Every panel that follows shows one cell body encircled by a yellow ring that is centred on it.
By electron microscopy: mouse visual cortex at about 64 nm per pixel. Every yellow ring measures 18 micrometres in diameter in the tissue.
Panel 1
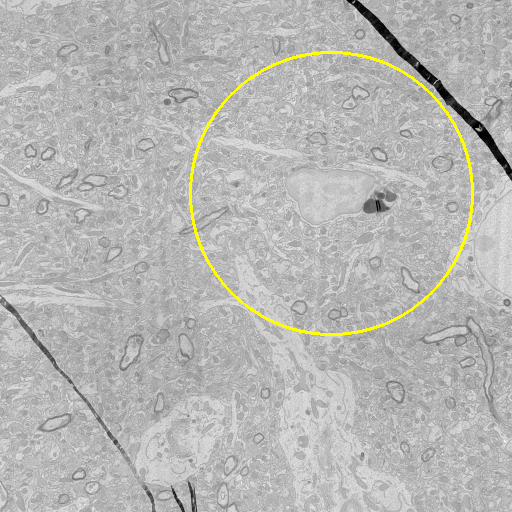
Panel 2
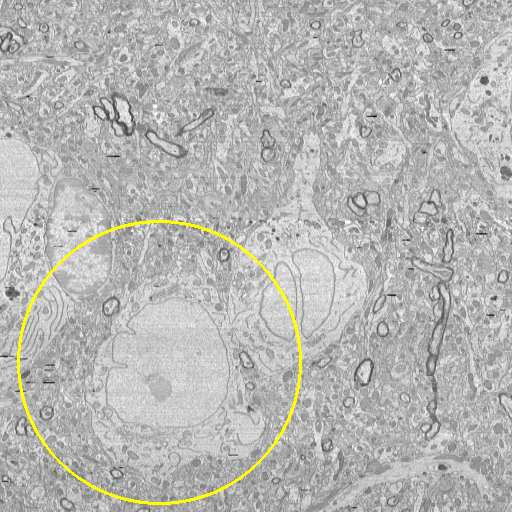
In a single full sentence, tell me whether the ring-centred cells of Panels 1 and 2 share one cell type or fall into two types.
In Panel 1 and Panel 2, the cells at the ring centres fall into two types.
